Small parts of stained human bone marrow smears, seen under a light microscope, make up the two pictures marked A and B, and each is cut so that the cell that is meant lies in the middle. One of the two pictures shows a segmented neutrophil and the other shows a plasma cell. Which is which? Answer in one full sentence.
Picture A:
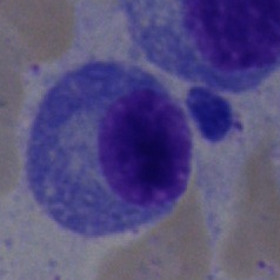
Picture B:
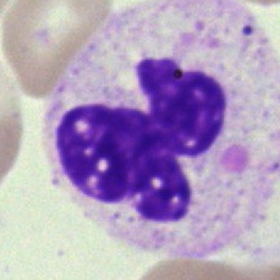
It is picture A that shows a plasma cell, and picture B that shows a segmented neutrophil.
